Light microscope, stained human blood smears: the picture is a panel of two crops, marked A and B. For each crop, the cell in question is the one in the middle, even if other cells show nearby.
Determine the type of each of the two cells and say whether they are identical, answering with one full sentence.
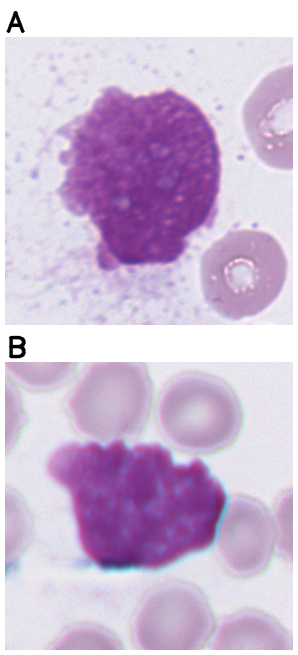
Yes, both crops show smudge cells in the centre of the field.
